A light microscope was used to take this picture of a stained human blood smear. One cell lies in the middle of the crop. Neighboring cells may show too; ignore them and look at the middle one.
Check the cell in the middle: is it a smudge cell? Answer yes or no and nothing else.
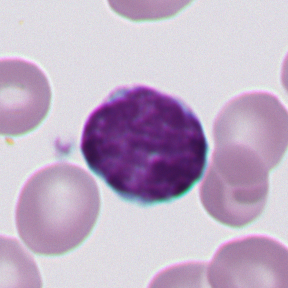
no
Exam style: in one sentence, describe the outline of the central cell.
Smooth edges only, with no spikes, blebs, or other projections.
